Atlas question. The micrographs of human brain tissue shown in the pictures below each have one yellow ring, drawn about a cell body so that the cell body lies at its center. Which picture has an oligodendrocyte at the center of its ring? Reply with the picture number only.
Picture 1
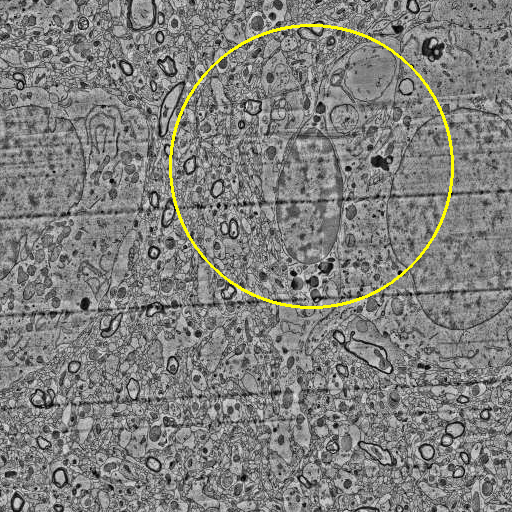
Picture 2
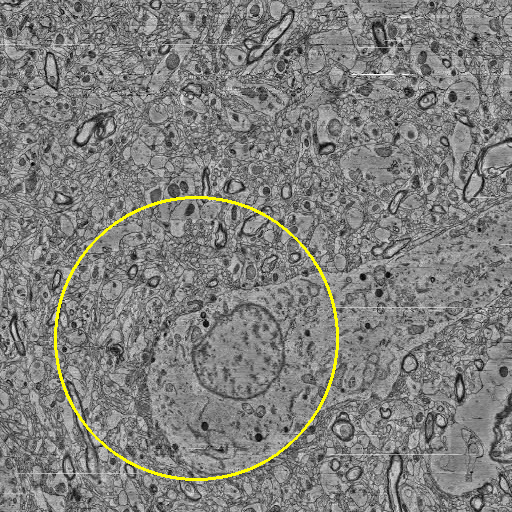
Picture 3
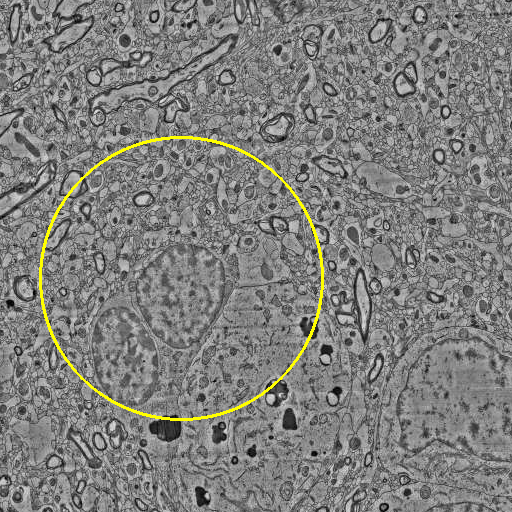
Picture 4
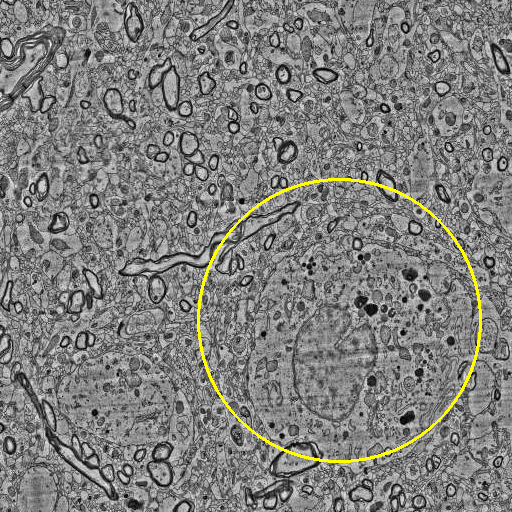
3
